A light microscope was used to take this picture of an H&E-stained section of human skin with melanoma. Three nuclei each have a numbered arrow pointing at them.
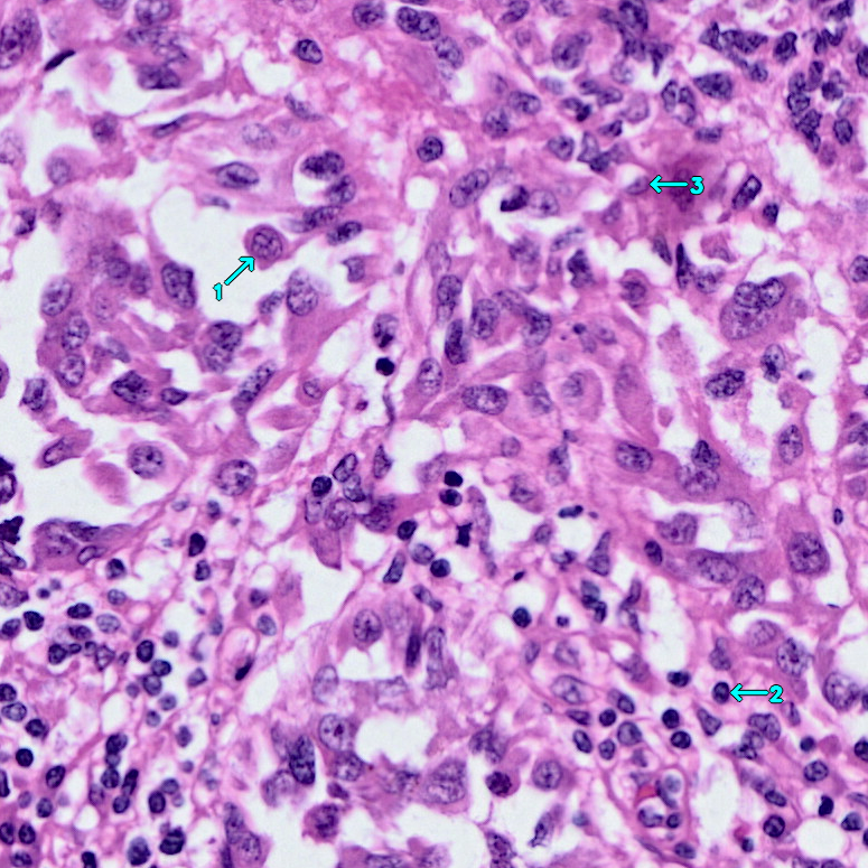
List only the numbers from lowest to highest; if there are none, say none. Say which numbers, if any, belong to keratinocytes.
none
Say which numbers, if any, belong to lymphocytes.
2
